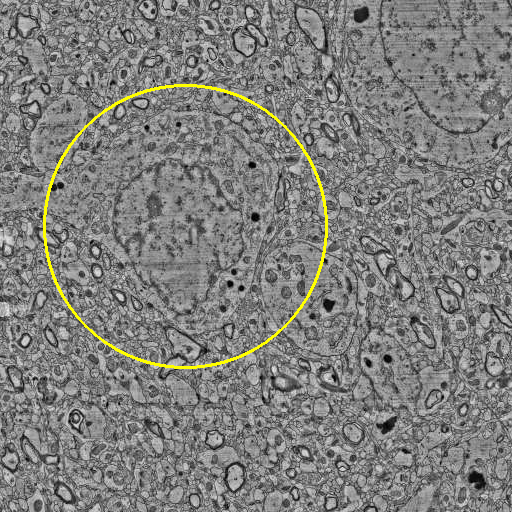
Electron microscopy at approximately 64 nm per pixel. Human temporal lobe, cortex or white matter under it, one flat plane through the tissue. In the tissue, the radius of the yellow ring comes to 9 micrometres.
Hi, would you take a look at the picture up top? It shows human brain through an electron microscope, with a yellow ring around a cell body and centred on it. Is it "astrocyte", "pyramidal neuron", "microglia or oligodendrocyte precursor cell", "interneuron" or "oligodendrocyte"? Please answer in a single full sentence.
The best fit for the cell in the middle of the ring is an interneuron, I reckon.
